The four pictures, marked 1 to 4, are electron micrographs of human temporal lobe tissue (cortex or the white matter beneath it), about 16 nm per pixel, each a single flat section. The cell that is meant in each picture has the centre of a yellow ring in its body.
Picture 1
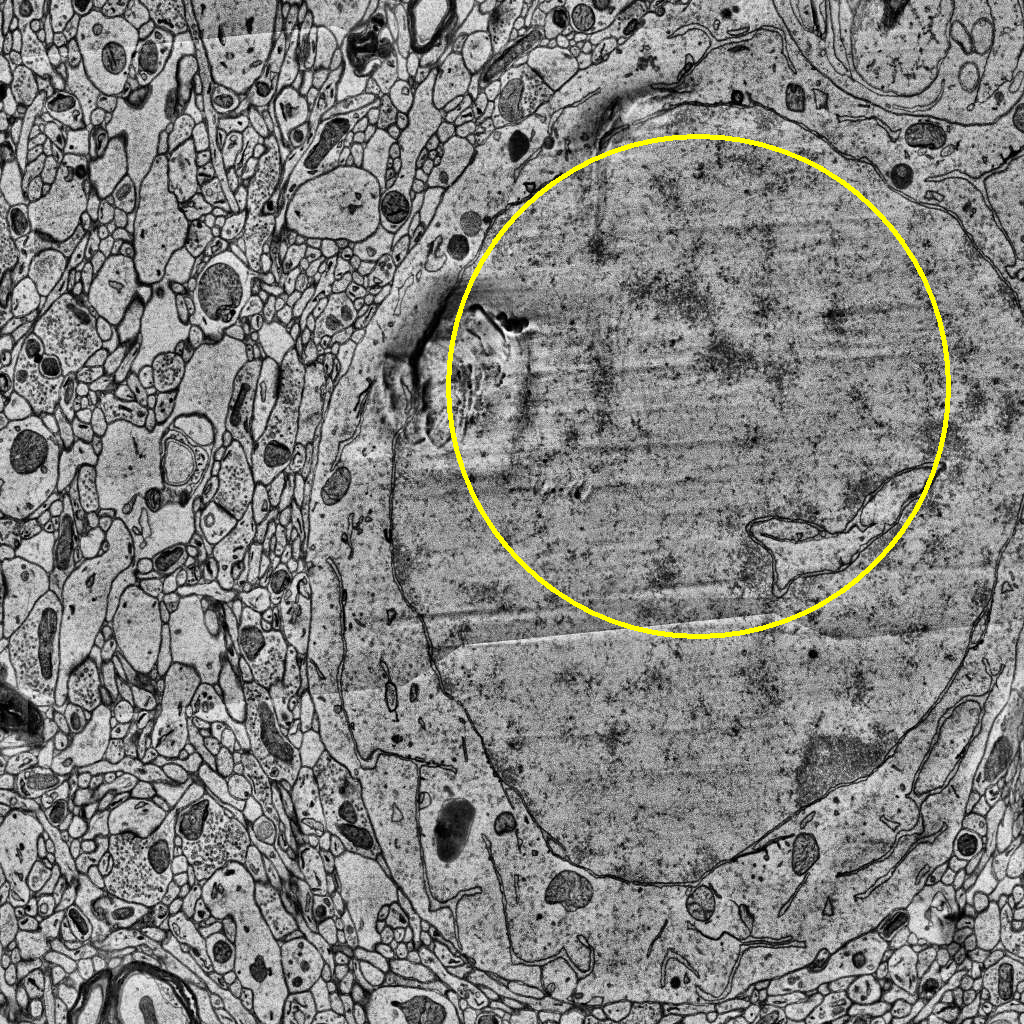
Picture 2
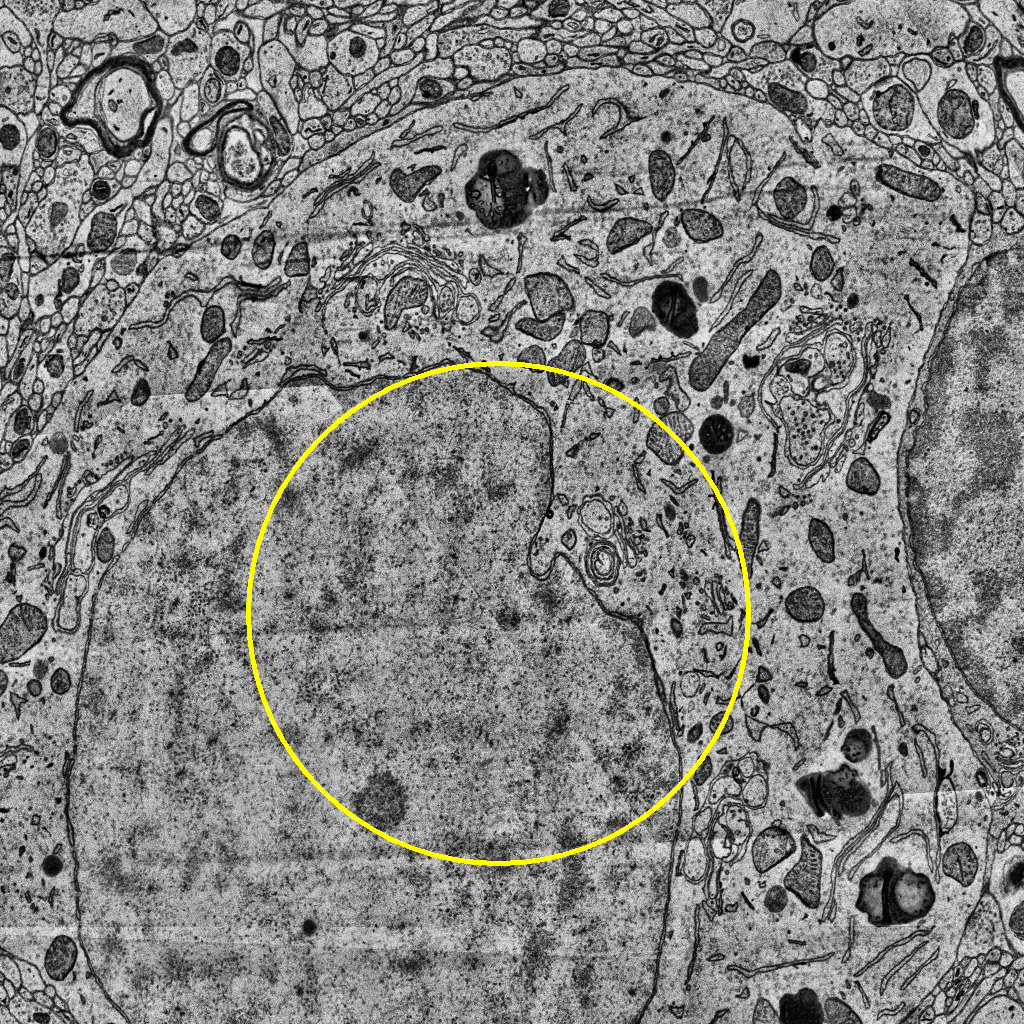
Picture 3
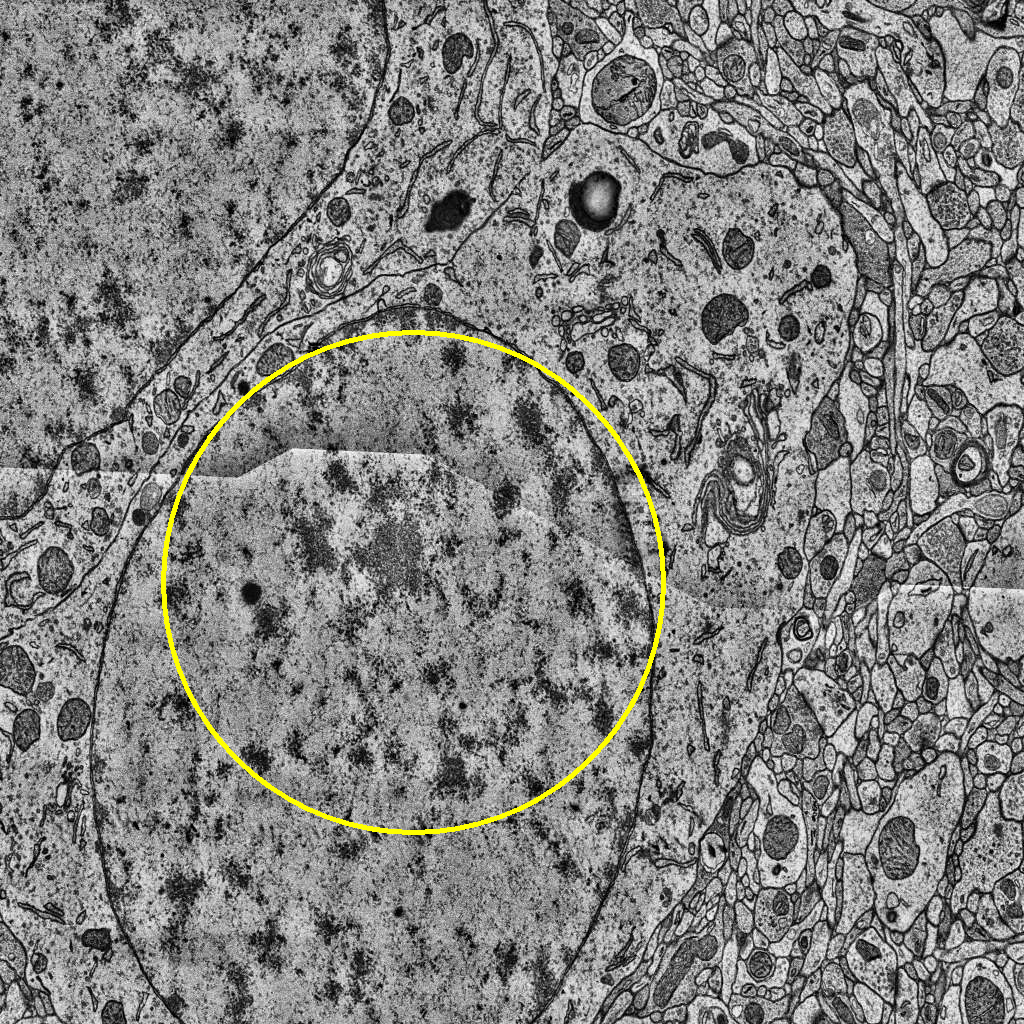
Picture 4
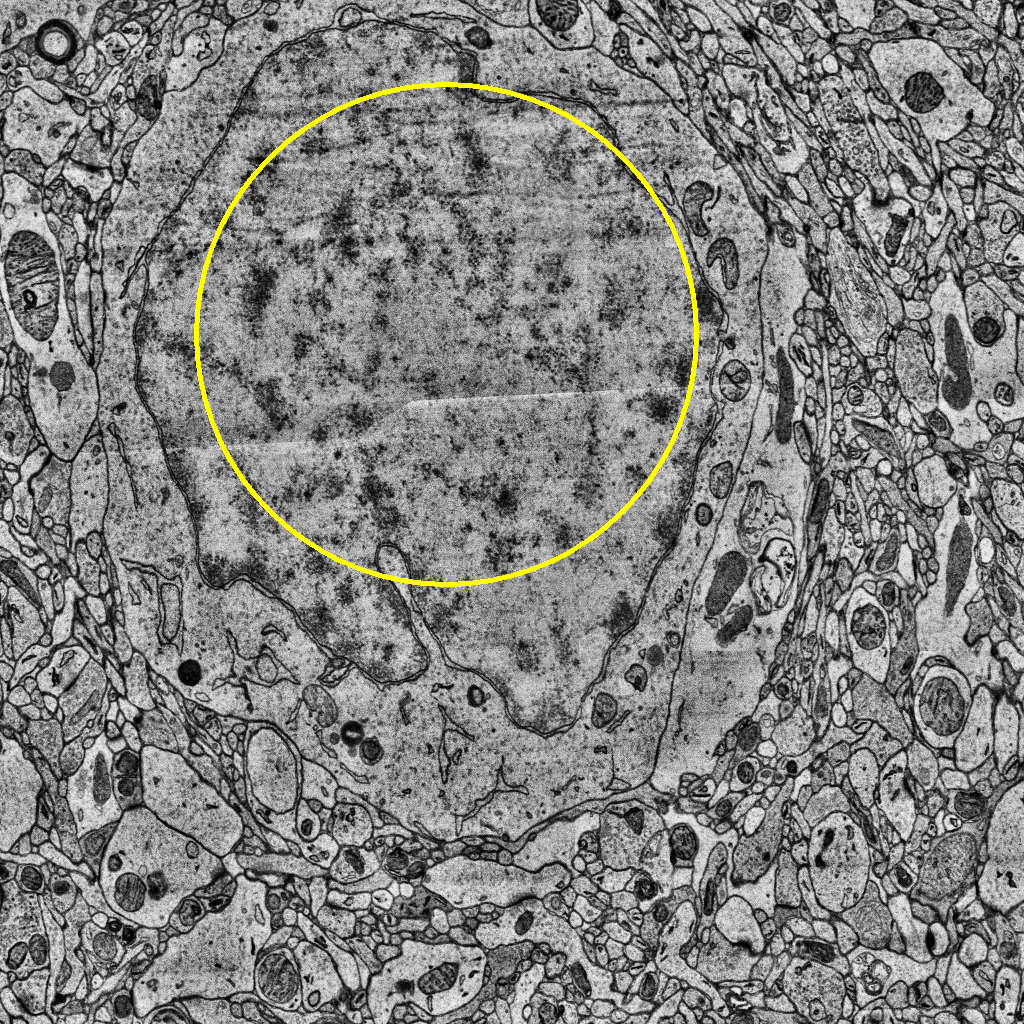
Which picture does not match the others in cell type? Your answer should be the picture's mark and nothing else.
3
